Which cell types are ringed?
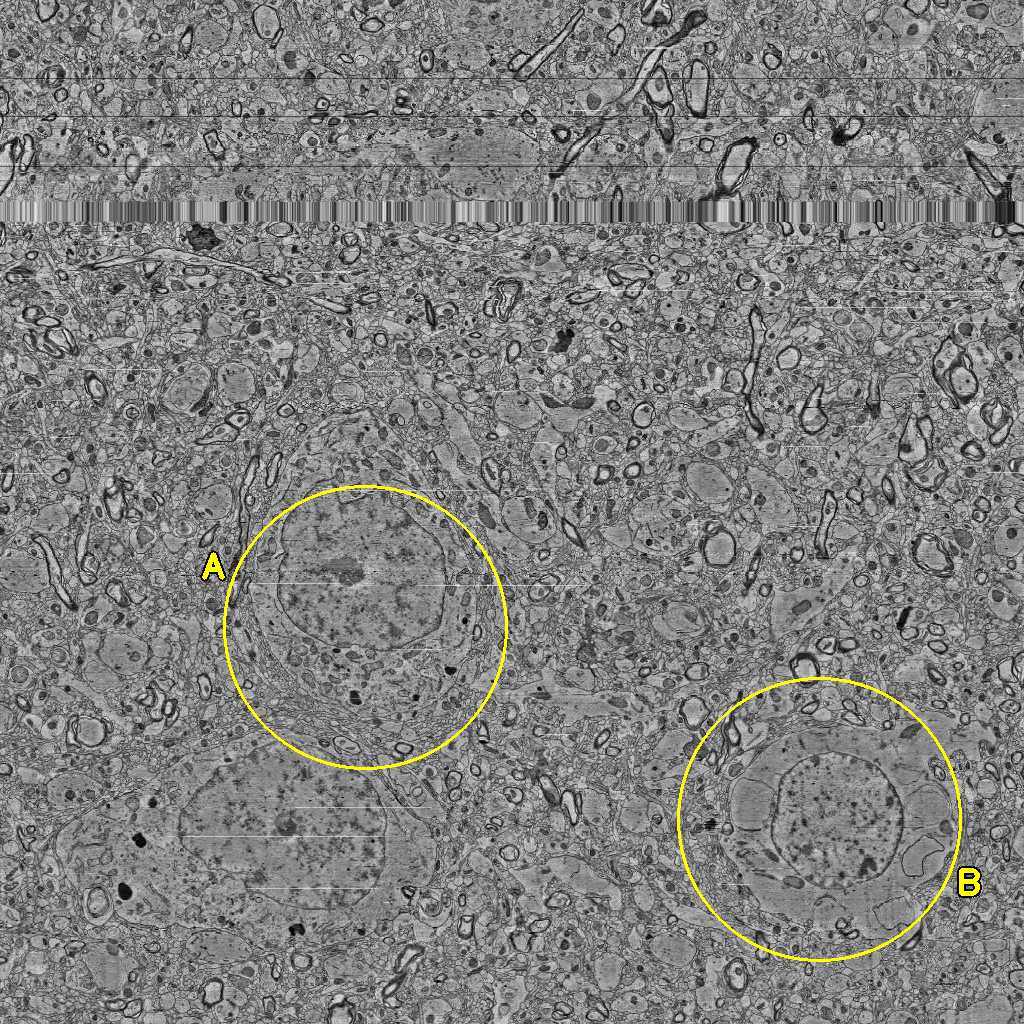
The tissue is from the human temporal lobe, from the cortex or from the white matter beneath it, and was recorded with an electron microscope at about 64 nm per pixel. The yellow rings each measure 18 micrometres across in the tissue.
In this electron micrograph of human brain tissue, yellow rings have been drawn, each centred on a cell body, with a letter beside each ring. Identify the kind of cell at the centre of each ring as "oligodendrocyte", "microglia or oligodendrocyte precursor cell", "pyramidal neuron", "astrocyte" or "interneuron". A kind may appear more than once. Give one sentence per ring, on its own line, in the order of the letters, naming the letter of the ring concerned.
Ring A is drawn on an interneuron.
Ring B is drawn on an astrocyte.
